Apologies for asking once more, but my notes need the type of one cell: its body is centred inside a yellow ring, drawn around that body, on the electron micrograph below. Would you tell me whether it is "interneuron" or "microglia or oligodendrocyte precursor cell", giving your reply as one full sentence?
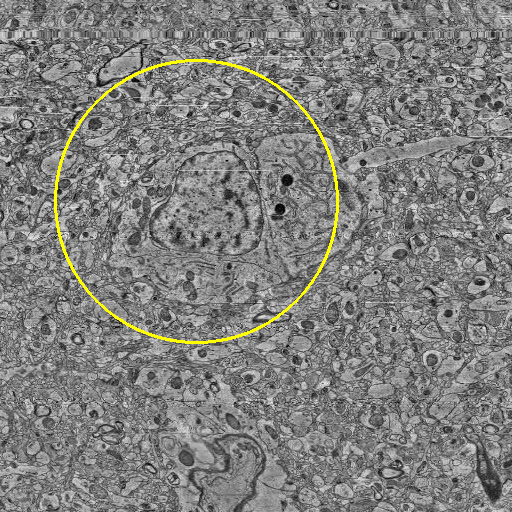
The cell that the yellow ring is centred on is a microglial cell or oligodendrocyte precursor cell in this micrograph.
